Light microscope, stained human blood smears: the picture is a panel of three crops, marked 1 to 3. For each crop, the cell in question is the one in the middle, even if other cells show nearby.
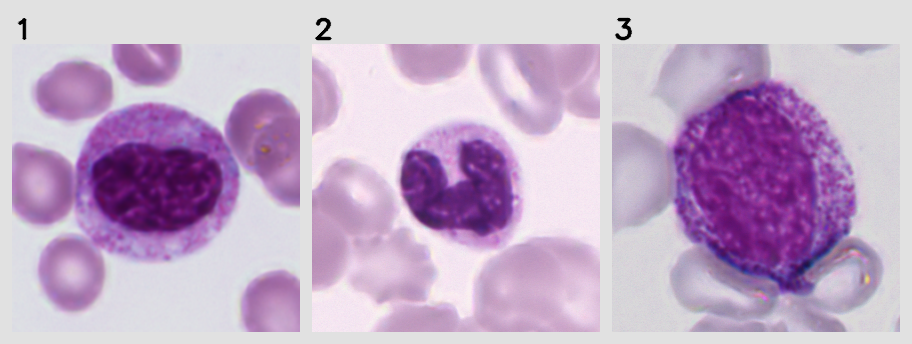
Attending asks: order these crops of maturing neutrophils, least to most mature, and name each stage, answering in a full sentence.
Placed in order from least to most mature, they run crop 3 (a promyelocyte), crop 1 (a metamyelocyte) and crop 2 (a band neutrophil).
